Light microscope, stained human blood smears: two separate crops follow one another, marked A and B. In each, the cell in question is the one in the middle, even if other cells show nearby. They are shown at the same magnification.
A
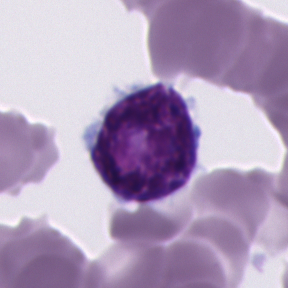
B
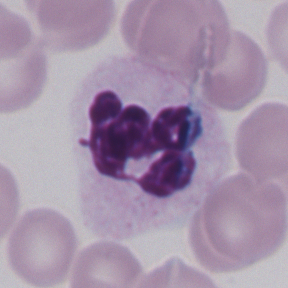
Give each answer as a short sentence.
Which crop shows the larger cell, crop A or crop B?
Larger is the cell in crop B, at roughly 2 times the area of the other.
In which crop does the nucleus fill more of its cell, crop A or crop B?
Of the two, the nucleus in crop A makes up the greater part of its cell.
